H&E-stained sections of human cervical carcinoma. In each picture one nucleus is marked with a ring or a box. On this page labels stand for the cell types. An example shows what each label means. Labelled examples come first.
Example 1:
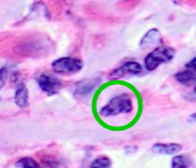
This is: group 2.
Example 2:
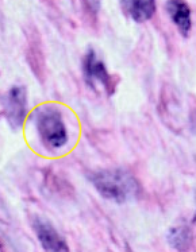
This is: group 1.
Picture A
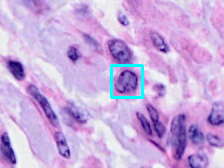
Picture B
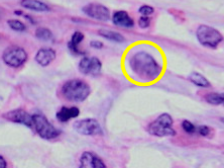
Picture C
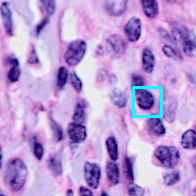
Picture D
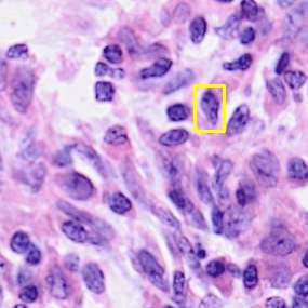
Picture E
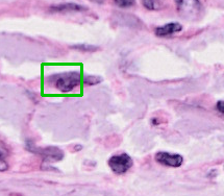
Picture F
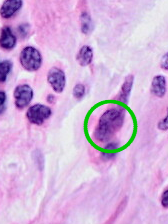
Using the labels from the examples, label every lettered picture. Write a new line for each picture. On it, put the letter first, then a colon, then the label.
A: group 1.
B: group 1.
C: group 2.
D: group 2.
E: group 1.
F: group 1.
